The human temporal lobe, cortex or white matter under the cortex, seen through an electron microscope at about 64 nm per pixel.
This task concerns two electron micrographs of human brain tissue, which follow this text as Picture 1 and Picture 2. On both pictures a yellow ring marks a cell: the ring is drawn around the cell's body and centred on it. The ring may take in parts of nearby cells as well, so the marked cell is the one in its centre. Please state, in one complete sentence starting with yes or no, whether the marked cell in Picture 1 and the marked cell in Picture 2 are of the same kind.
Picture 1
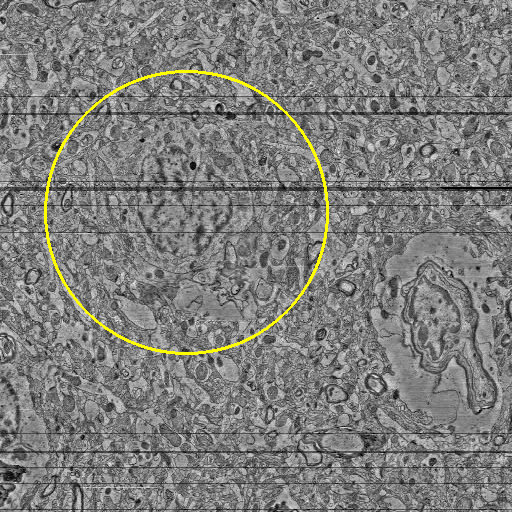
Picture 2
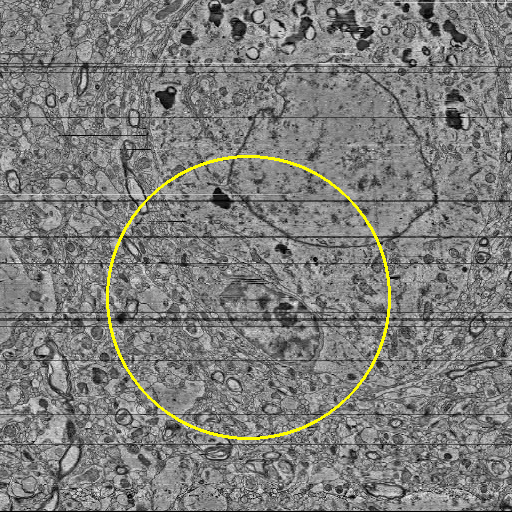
No, the marked cells in the two pictures are of two kinds.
